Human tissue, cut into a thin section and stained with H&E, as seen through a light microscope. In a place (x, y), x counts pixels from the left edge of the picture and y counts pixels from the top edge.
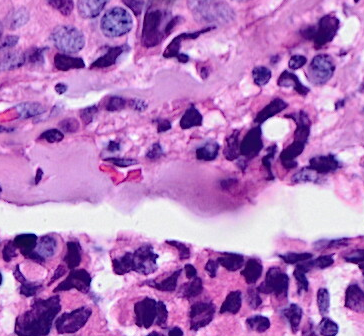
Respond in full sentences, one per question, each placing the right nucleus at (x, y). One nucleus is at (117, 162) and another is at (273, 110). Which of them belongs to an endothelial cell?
Heads up, the nucleus at (117, 162) is the one that belongs to an endothelial cell.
